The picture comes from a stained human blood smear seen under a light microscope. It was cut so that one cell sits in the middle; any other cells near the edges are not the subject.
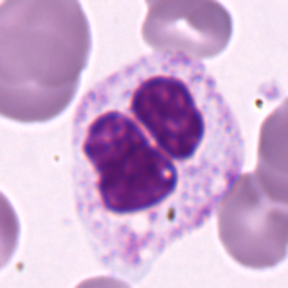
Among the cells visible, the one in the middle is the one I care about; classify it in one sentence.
The cell occupying the middle of the crop is a segmented neutrophil.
